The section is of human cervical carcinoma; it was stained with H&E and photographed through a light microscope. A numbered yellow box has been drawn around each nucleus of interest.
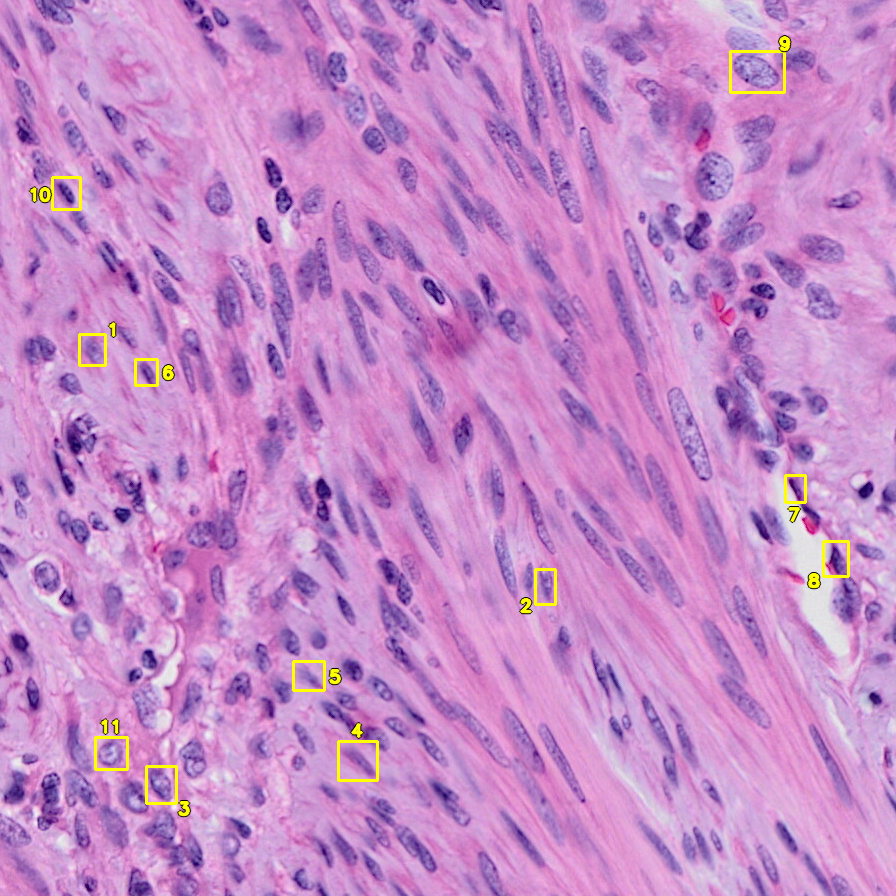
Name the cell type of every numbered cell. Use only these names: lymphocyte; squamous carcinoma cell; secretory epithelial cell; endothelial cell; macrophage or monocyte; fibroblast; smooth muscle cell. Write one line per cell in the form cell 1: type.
cell 1: smooth muscle cell
cell 2: smooth muscle cell
cell 3: endothelial cell
cell 4: smooth muscle cell
cell 5: fibroblast
cell 6: smooth muscle cell
cell 7: endothelial cell
cell 8: endothelial cell
cell 9: endothelial cell
cell 10: lymphocyte
cell 11: smooth muscle cell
